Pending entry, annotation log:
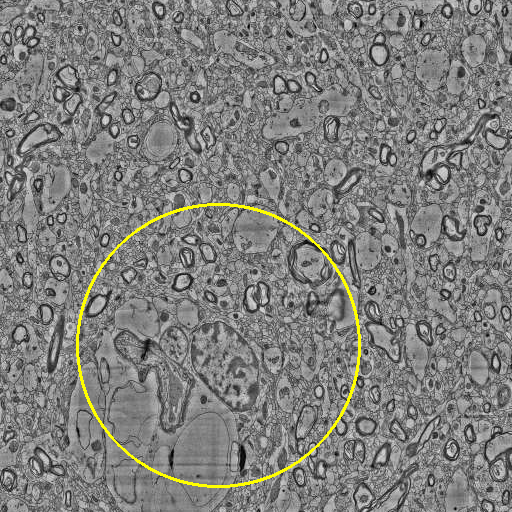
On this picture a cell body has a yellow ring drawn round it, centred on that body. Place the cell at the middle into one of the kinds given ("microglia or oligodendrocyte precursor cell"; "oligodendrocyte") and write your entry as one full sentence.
The cell body at the middle of the yellow ring belongs to a microglial cell or oligodendrocyte precursor cell.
